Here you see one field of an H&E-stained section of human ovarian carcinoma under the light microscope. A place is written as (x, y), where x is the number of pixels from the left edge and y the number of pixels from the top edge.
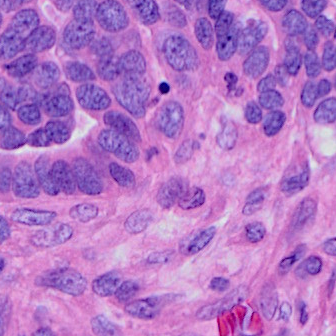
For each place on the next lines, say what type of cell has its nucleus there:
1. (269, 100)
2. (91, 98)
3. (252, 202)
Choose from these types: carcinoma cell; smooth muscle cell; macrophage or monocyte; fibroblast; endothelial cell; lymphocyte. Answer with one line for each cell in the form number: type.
1: carcinoma cell
2: carcinoma cell
3: fibroblast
